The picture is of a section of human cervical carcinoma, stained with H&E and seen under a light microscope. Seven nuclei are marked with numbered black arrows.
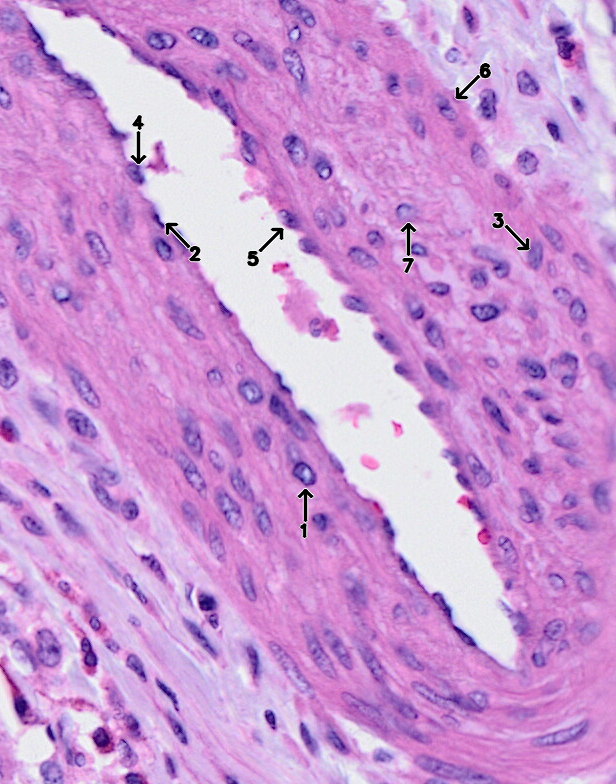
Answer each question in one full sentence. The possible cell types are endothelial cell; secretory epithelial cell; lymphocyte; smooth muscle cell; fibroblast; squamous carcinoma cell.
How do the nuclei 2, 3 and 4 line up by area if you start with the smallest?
The order from the smallest nucleus to the largest is 2, 4, 3.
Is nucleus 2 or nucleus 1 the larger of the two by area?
The larger nucleus is 1, at roughly 3 times the area of 2.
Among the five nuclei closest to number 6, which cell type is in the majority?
Around number 6, most of the five nearest nuclei are those of smooth muscle cells.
